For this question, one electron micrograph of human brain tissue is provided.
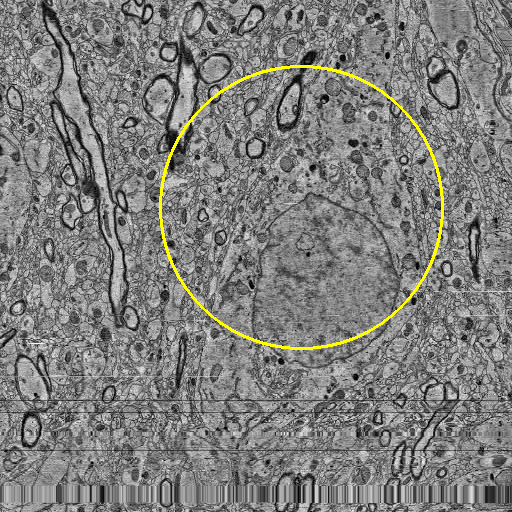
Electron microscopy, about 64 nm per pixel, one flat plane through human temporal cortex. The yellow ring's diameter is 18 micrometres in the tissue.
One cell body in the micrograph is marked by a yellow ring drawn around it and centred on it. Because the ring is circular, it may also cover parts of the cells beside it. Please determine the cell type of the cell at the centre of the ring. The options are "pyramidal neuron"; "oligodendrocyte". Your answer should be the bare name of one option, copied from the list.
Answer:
pyramidal neuron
